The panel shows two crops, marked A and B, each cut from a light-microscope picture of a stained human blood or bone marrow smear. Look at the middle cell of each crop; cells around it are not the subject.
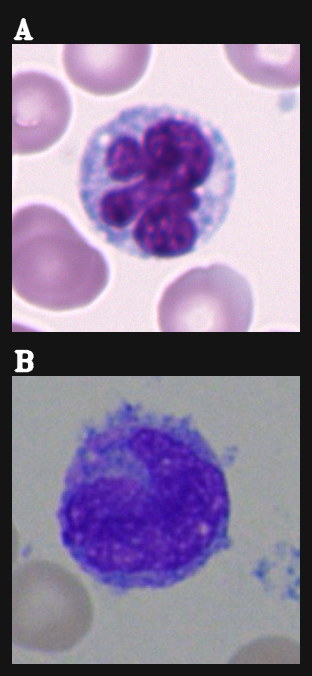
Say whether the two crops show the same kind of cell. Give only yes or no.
yes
